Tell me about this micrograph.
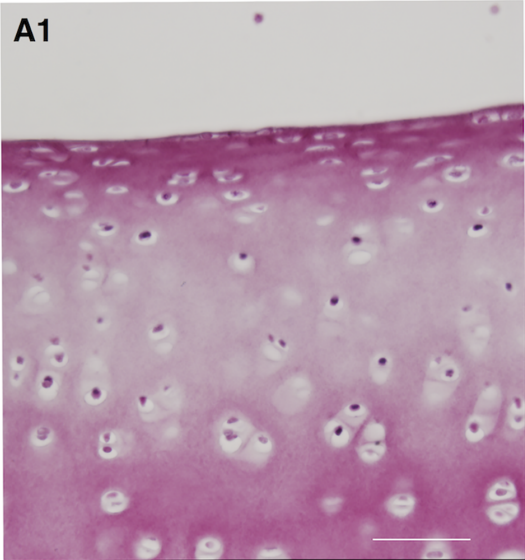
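This is cartilage with chondrocytes lying in lacunae within an abundant pink to purple matrix. Along the smooth surface at the top the cells are small and flattened, lying roughly parallel to the surface. Deeper down the cells become rounder and larger, each with a dark purple nucleus and pale cytoplasm that often leaves a clear halo within its lacuna. Several lacunae hold two or more cells together as small clusters. The matrix is stained more intensely just under the surface and toward the bottom, and paler in the middle band.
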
